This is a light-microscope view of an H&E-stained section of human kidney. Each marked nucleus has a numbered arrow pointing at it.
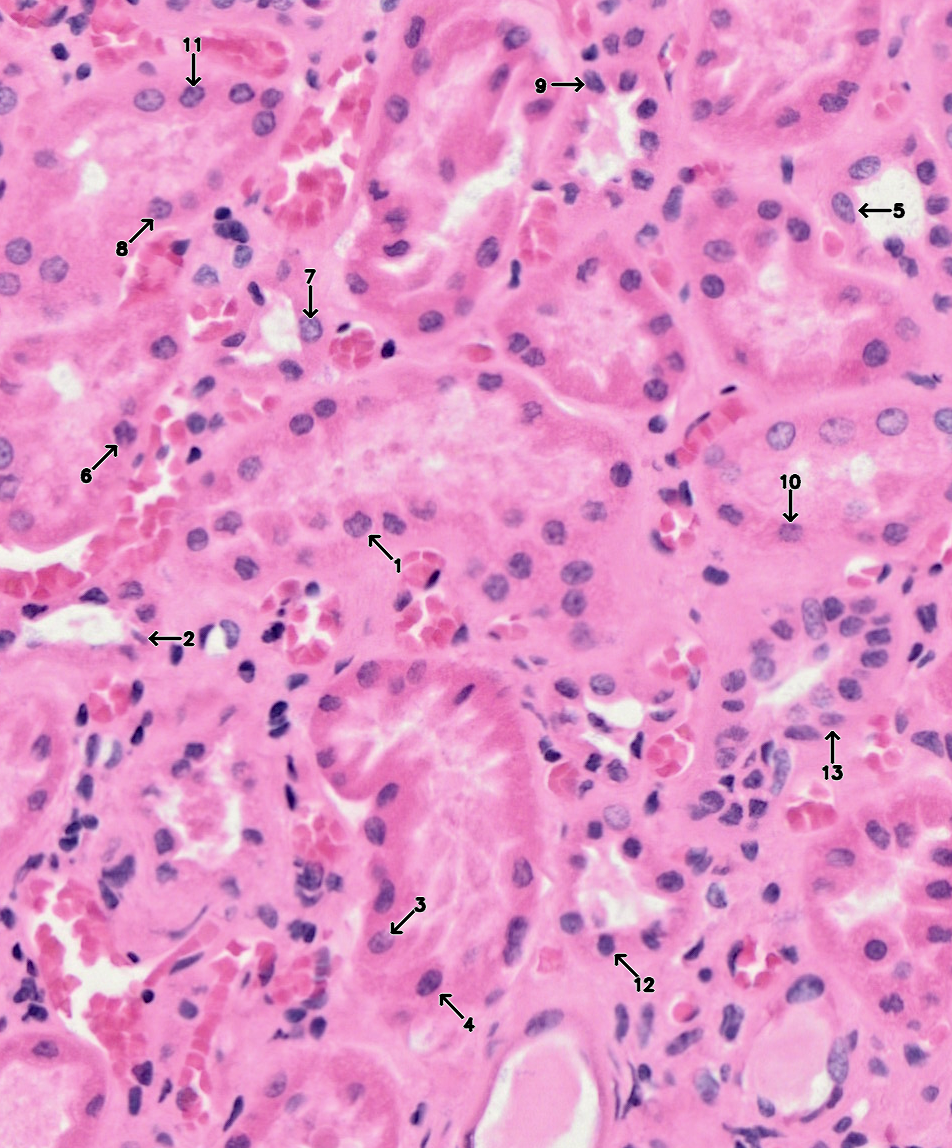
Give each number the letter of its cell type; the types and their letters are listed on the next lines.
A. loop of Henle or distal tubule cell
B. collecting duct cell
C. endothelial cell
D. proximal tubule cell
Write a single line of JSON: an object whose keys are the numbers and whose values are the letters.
{"1": "D", "2": "A", "3": "D", "4": "D", "5": "A", "6": "D", "7": "A", "8": "D", "9": "A", "10": "D", "11": "D", "12": "A", "13": "B"}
